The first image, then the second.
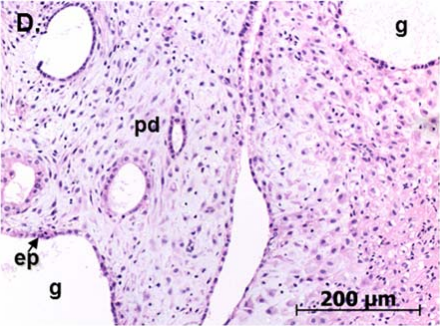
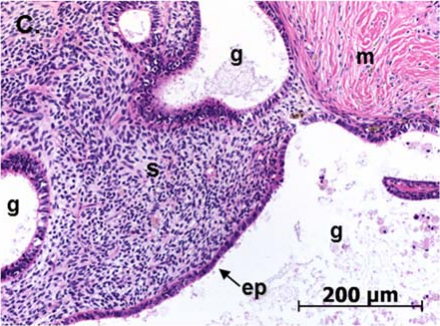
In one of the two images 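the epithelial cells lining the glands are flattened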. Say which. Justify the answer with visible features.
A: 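First image: the gland lining is a thin single row of flat cells. Second image: the gland lining is a thick band of tall cells with crowded nuclei. So: the first image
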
